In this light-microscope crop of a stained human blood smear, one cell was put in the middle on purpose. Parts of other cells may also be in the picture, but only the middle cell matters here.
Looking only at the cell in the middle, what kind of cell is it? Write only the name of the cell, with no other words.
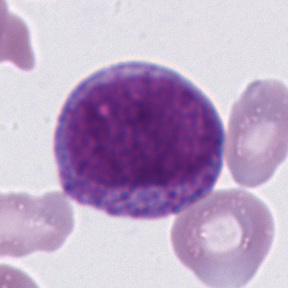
promyelocyte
